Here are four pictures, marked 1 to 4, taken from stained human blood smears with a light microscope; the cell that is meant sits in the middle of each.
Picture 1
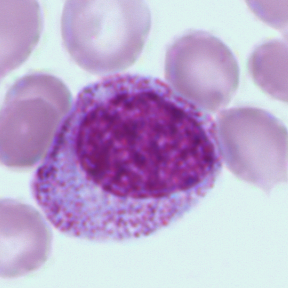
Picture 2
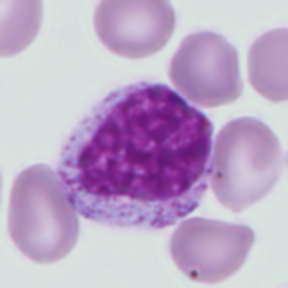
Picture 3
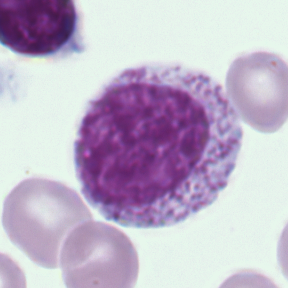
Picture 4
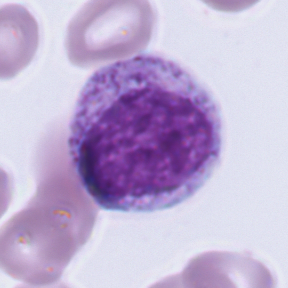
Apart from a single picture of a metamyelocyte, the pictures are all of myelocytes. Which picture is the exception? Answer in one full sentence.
Picture 2 is the one that shows the metamyelocyte.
